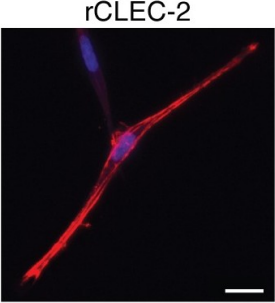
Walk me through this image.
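The red cytoskeleton shows fine parallel fibres along the length of the cell and a few short side branches near the nucleus. Part of a second elongated cell with a blue nucleus lies at the upper left. Overall the cell is markedly elongated and spread rather than compact.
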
